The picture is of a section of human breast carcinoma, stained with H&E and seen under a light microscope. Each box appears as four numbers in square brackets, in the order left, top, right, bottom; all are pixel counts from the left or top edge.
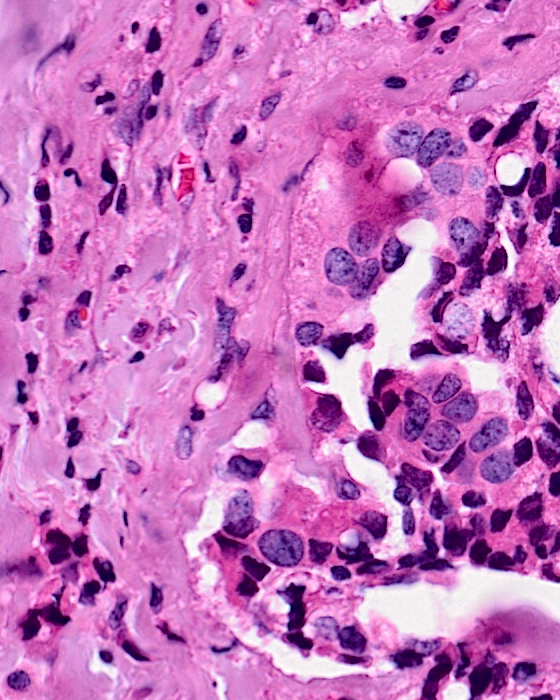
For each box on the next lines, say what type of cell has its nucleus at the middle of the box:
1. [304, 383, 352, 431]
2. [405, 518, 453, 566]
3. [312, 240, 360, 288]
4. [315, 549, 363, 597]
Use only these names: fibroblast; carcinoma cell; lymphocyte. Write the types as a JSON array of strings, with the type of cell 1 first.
["carcinoma cell", "carcinoma cell", "carcinoma cell", "lymphocyte"]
